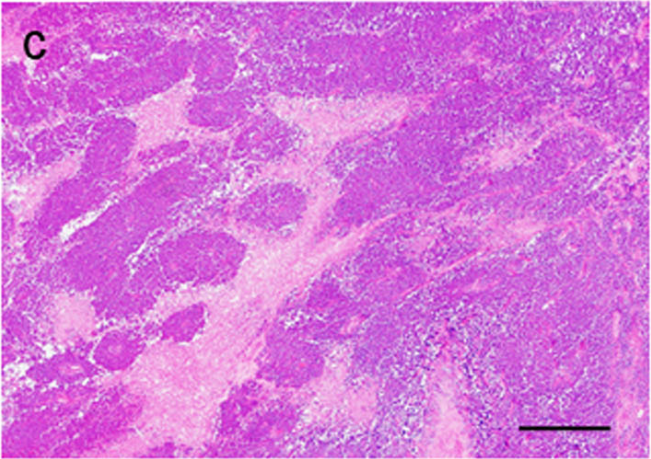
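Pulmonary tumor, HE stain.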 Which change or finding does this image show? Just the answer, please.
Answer: Necrosis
